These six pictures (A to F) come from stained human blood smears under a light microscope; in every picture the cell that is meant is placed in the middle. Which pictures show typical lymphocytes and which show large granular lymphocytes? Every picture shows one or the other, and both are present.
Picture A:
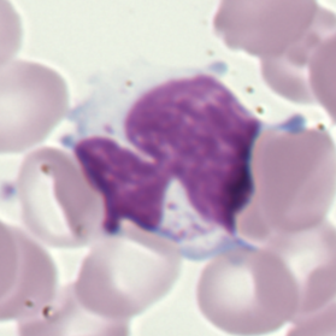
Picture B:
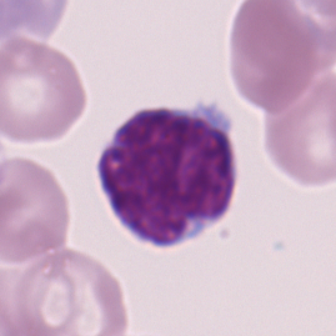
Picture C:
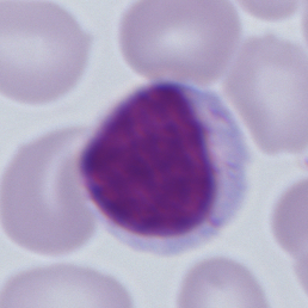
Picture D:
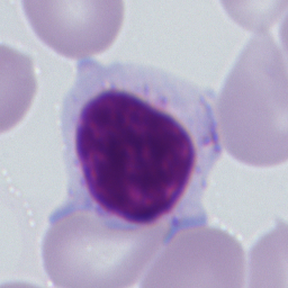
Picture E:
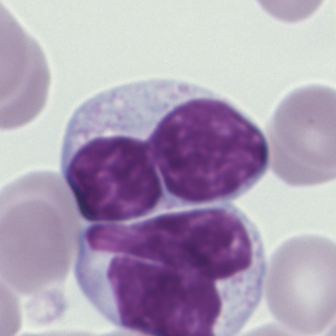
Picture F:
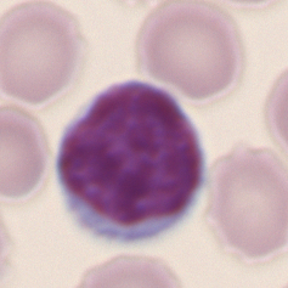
A: large granular lymphocyte
B: typical lymphocyte
C: large granular lymphocyte
D: large granular lymphocyte
E: large granular lymphocyte
F: typical lymphocyte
